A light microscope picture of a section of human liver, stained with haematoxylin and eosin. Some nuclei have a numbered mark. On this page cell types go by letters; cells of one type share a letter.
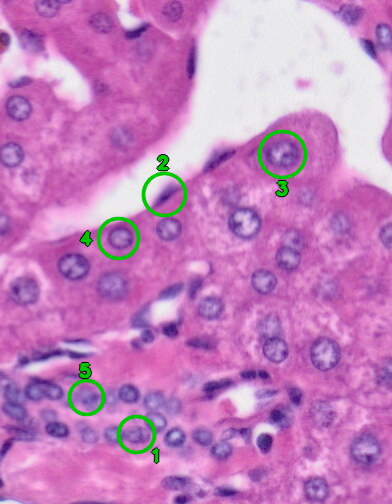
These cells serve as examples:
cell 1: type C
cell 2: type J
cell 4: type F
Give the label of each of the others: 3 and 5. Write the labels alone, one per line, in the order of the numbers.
type F
type C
